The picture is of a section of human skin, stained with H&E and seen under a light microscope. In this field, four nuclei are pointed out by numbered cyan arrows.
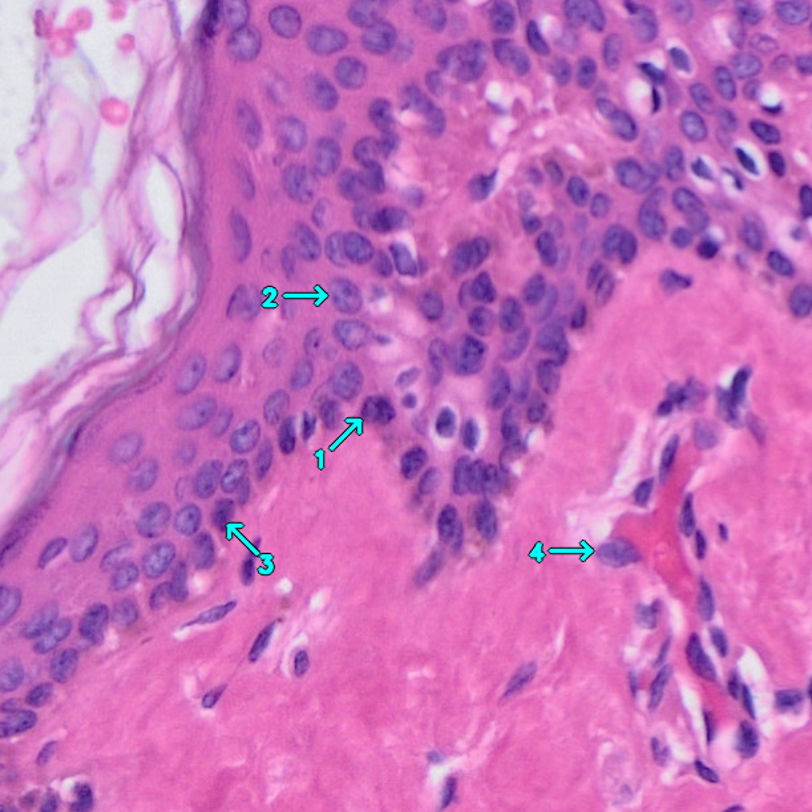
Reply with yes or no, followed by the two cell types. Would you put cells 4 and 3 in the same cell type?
No, cell 4 is an endothelial cell and cell 3 is a basal keratinocyte.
